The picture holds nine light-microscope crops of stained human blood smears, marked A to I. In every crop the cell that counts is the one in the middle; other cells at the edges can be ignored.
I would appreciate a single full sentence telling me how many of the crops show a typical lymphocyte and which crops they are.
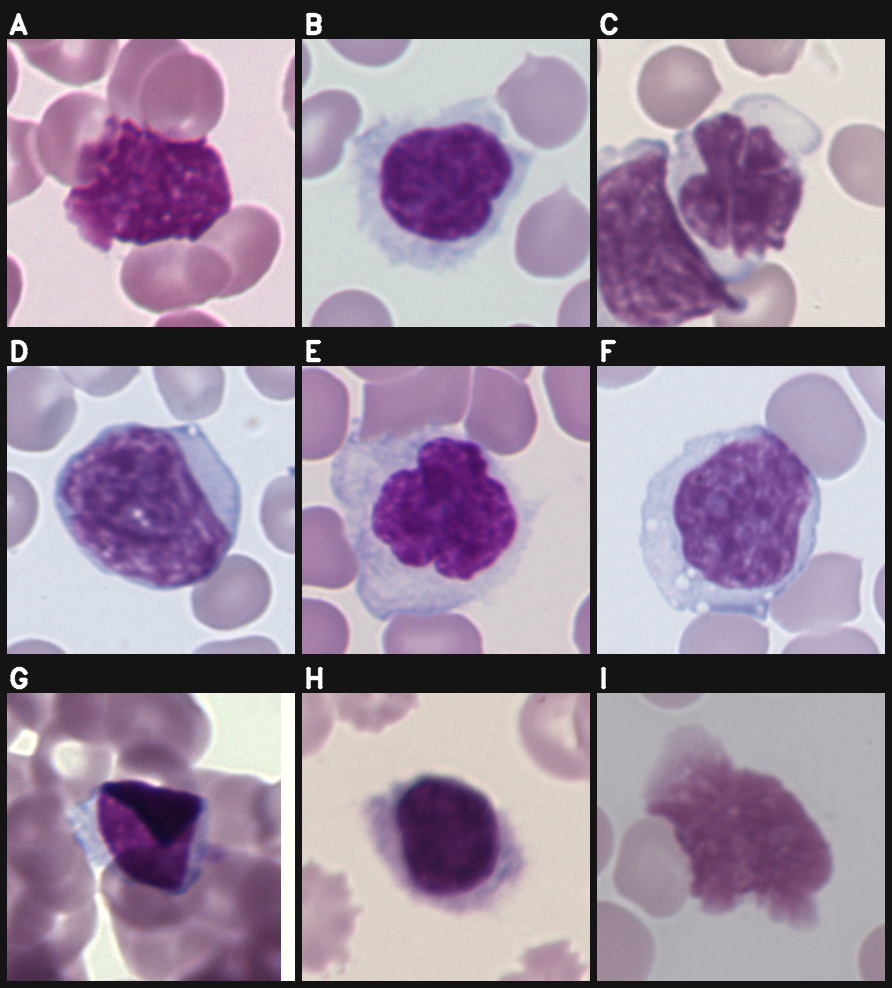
One crop shows a typical lymphocyte, and that crop is crop G.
